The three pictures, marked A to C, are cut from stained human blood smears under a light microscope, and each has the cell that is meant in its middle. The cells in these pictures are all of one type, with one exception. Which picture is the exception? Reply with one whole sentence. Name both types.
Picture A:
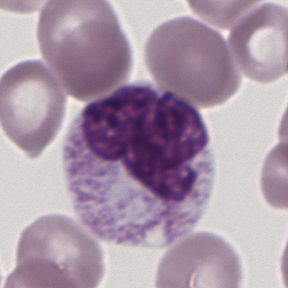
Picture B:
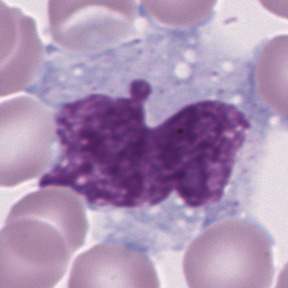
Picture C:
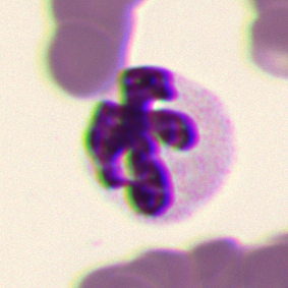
Unlike the rest, which show segmented neutrophils, picture B shows a monocyte.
